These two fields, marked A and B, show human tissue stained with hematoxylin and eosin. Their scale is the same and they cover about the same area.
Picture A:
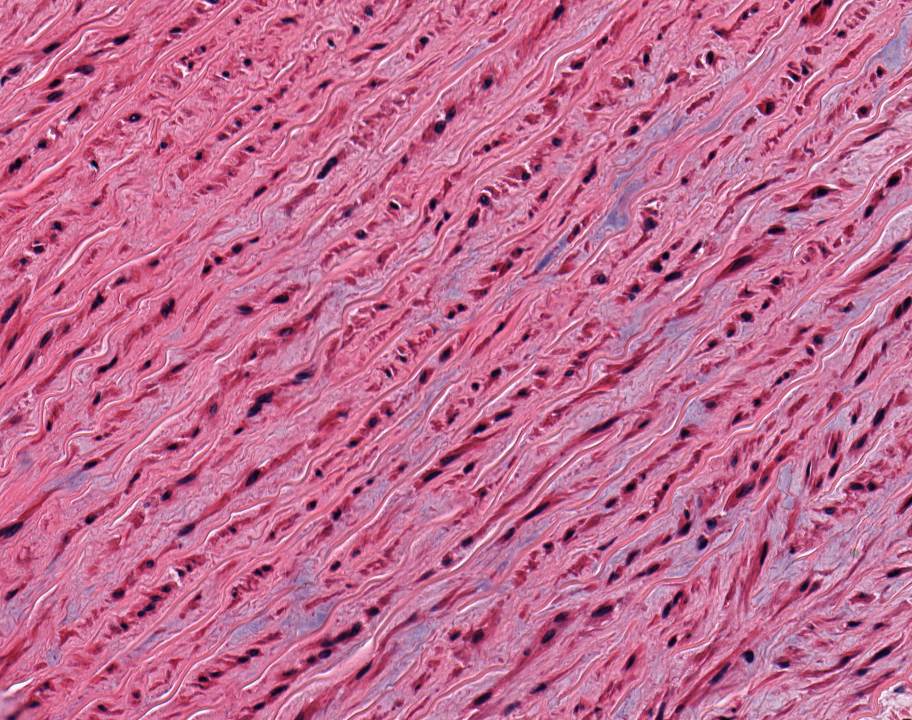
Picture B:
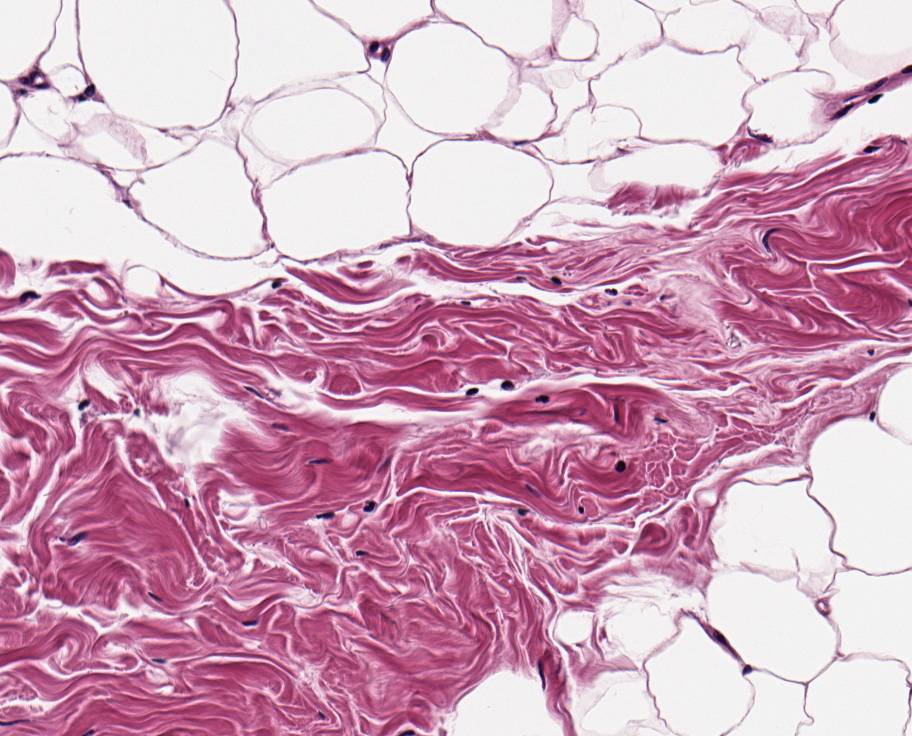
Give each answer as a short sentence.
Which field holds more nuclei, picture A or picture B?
It is picture A that has more nuclei in it.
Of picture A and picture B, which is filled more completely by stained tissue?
It is picture A that stained tissue fills more completely.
